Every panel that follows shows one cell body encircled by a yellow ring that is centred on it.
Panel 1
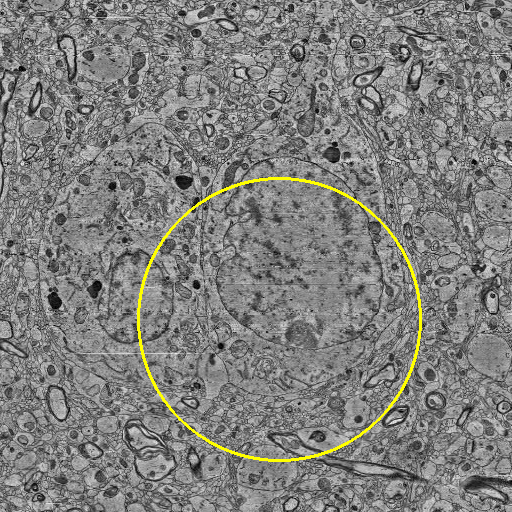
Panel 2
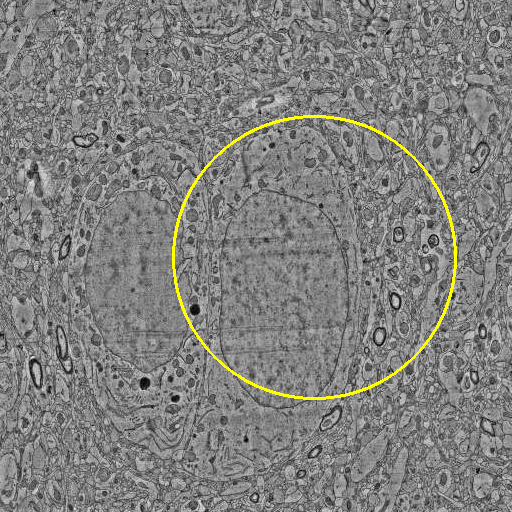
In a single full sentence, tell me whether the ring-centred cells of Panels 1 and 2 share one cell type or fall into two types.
In Panel 1 and Panel 2, the cells at the ring centres share one cell type.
